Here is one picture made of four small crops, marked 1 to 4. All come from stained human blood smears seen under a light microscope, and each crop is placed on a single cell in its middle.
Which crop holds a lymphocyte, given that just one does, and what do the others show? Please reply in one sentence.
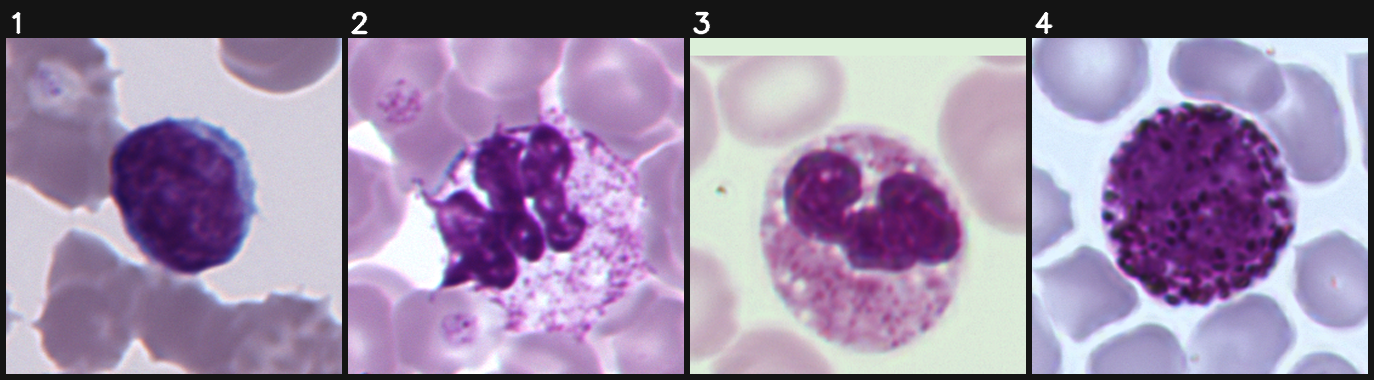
Crop 1 holds a lymphocyte at its centre, while crop 2 is a neutrophil, crop 3 is an eosinophil and crop 4 is a basophil.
